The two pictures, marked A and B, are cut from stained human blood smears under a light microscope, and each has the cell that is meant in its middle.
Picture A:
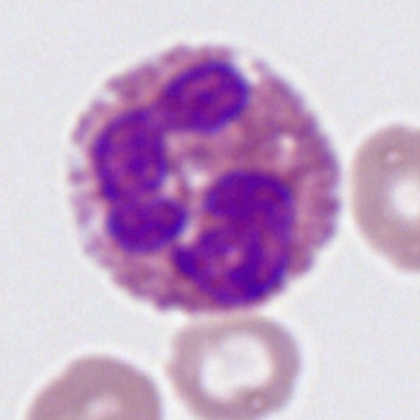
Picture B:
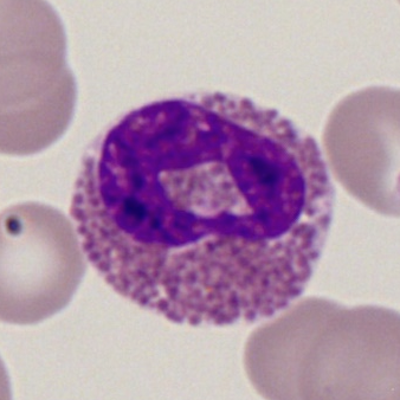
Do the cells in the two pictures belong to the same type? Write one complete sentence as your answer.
Yes; the cells in both pictures are eosinophils.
